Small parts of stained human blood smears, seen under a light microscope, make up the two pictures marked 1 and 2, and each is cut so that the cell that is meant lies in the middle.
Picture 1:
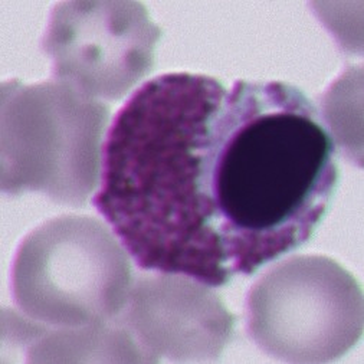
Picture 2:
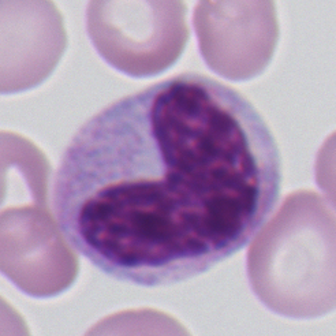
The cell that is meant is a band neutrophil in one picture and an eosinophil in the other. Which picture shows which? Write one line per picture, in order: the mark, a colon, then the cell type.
1: eosinophil
2: band neutrophil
